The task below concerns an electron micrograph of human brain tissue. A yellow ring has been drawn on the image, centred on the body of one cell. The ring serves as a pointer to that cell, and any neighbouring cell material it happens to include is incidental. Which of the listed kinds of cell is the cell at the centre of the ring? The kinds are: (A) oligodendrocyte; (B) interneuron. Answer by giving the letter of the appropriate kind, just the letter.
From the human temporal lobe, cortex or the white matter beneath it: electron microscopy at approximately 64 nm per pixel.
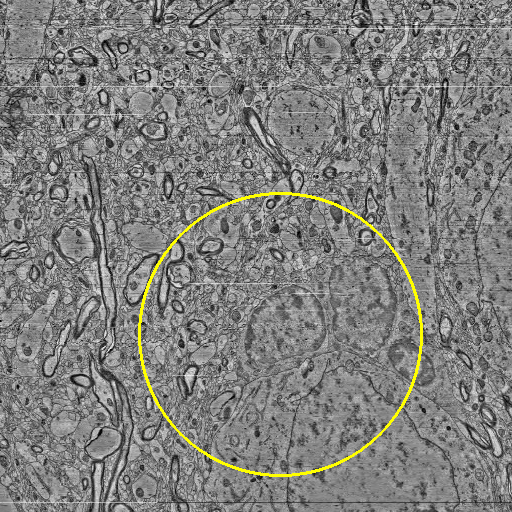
A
